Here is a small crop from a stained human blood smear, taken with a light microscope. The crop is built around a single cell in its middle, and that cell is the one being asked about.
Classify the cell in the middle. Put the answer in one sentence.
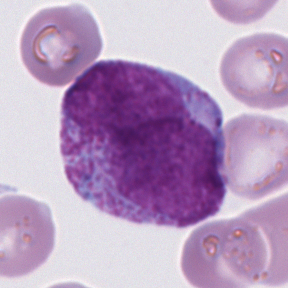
The centrally located cell in the crop is a promyelocyte.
